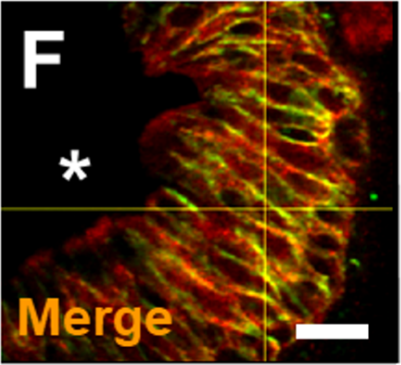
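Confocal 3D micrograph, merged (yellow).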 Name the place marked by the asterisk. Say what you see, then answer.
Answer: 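The asterisk lies in a dark, signal-free space. Elongated cells are lined up along the edge of this space. The answer: lumen.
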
